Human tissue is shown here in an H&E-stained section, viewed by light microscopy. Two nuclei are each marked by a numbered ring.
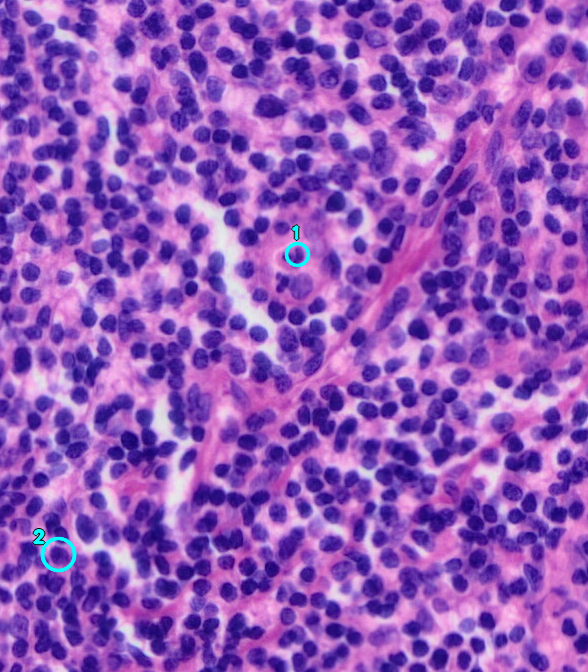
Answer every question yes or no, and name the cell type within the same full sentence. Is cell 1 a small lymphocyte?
No, for cell 1, the correct identification is an endothelial cell instead of a small lymphocyte.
